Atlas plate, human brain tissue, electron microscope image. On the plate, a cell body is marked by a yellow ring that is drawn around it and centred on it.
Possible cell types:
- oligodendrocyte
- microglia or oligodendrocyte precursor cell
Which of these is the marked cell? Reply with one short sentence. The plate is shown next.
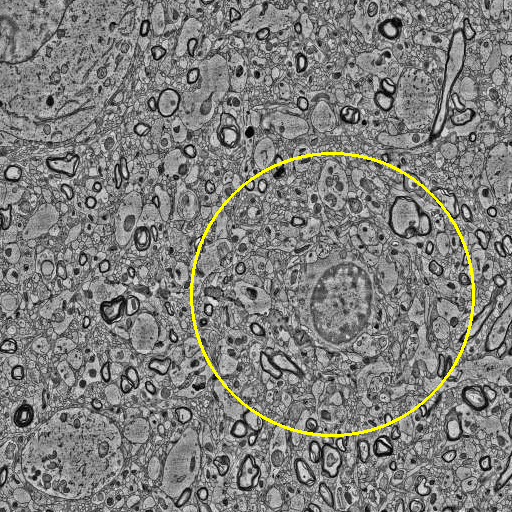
The marked cell is an oligodendrocyte.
